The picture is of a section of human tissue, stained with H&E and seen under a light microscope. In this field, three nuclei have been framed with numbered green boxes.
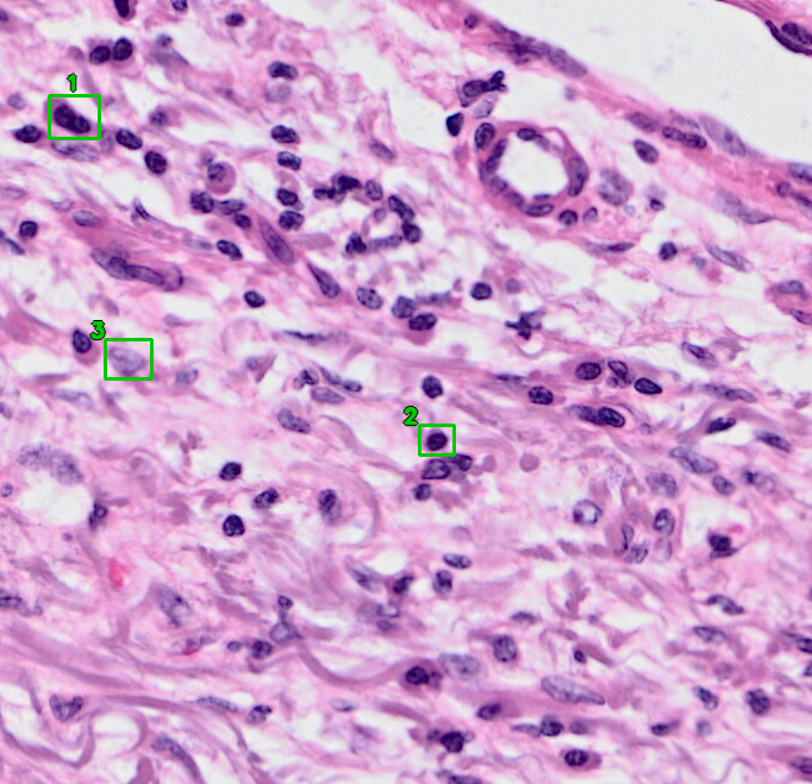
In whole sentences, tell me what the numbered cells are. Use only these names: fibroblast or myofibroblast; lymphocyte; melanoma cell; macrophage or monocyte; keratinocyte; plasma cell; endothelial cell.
Cells 1 and 2 are plasma cells. Cell 3 is a fibroblast or myofibroblast.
